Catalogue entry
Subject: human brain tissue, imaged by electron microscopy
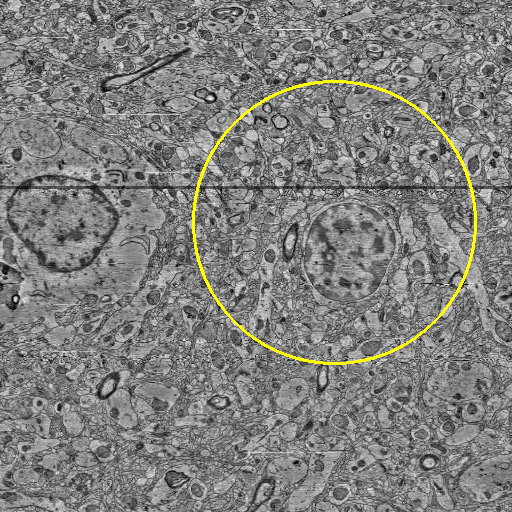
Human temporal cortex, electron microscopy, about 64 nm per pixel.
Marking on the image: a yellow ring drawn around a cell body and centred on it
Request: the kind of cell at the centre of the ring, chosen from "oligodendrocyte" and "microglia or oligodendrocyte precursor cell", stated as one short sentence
The ring has a microglial cell or oligodendrocyte precursor cell at its centre.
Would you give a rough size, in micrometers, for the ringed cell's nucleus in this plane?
Roughly 6 micrometers across, in this plane.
